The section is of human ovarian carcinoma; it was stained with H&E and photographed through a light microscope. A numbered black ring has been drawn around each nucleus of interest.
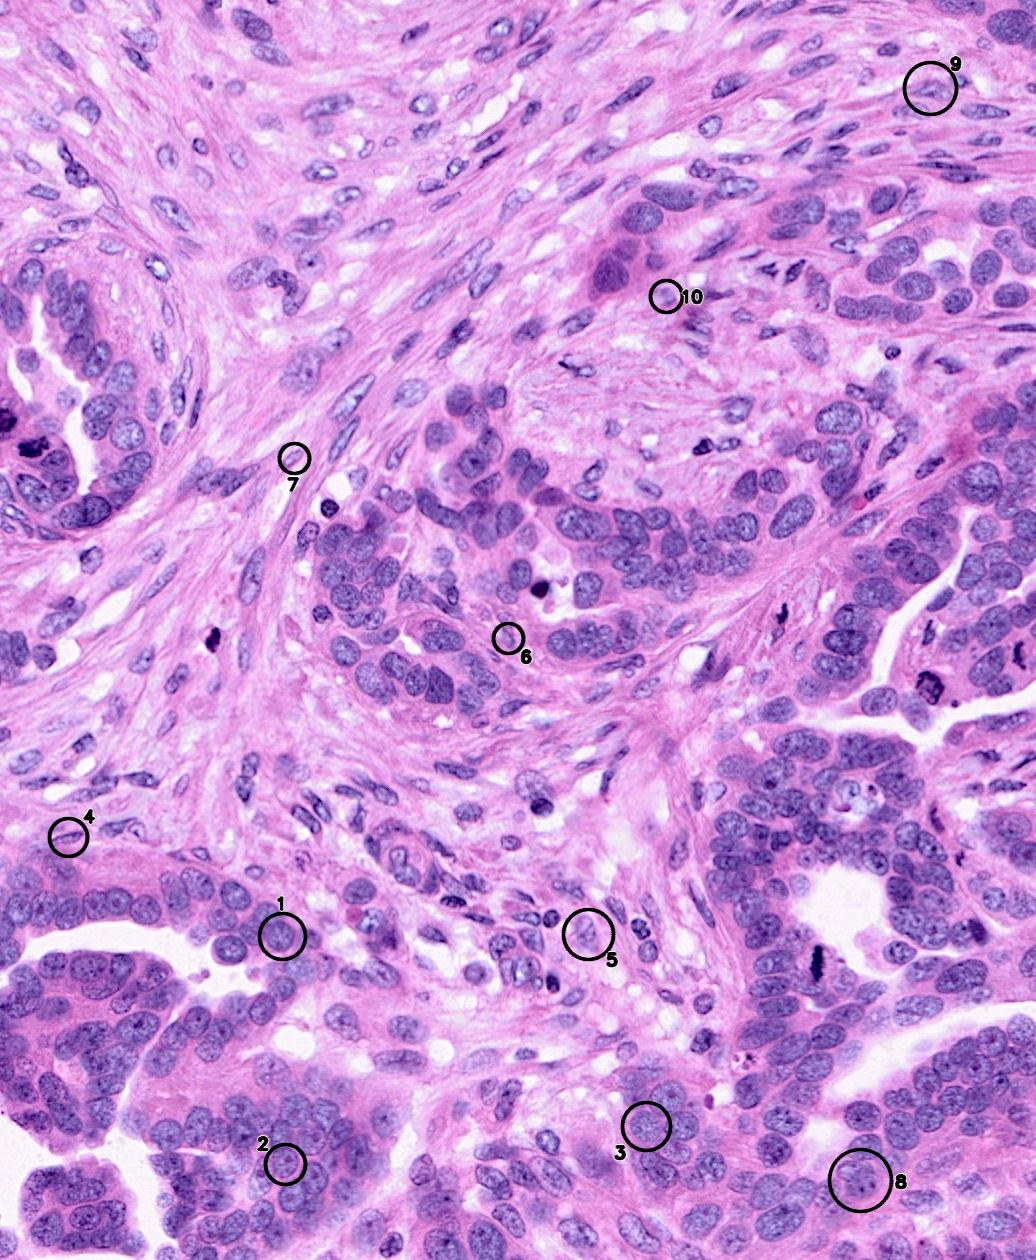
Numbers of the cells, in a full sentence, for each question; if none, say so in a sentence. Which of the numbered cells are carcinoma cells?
Classified as carcinoma cells are the cells numbered 1, 2, 3 and 8.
